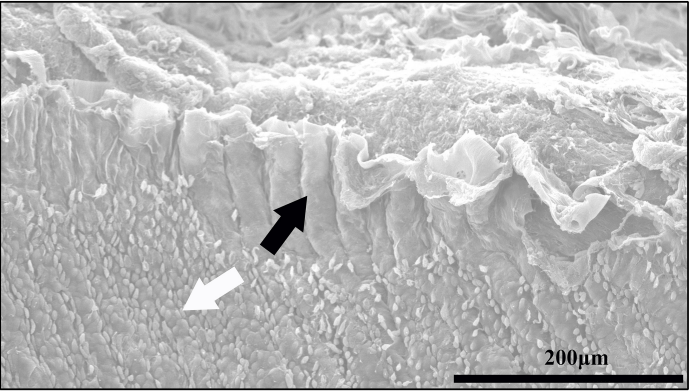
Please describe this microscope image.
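This is the luminal surface of a vessel, lined by a continuous sheet of flattened, cobblestone-shaped endothelial cells, each small and elongated with a slight central bulge. The cells lie in wavy rows running across the field. At the cut edge the layer beneath them, the internal elastic lamina, is exposed and thrown into regular parallel folds. These folds line up with the waves in the cell sheet, so the undulating lamina seems to give the lining its wave-like pattern.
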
